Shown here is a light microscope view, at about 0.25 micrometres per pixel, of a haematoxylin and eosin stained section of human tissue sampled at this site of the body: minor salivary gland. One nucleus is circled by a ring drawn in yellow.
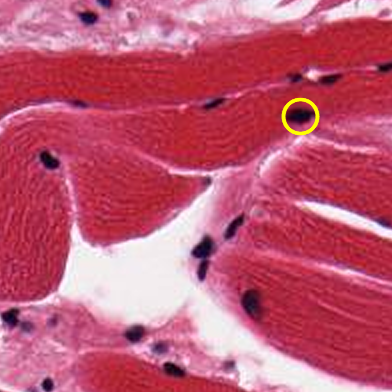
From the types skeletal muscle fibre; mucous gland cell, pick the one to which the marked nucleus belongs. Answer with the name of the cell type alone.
skeletal muscle fibre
